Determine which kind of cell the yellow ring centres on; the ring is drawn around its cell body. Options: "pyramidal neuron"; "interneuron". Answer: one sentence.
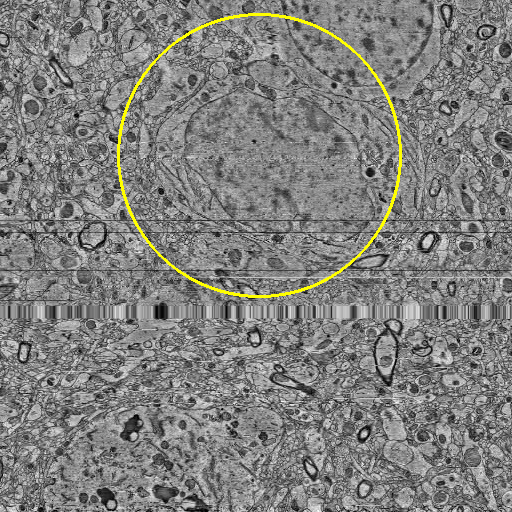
The ring centres on an interneuron.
